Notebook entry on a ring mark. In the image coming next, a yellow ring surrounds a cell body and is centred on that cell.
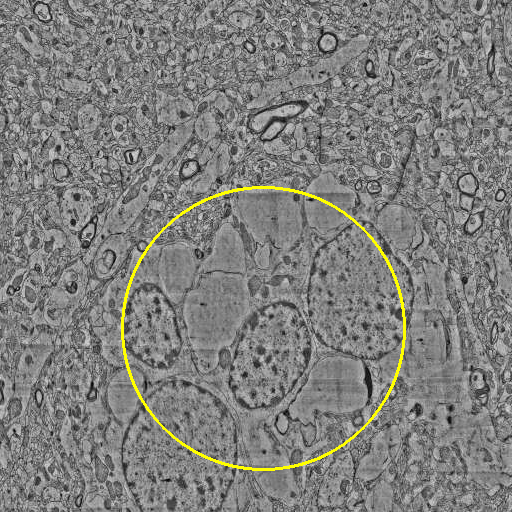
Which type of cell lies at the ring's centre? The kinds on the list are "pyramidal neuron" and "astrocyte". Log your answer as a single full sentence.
Centred in the yellow ring is an astrocyte, the cell recorded for this image.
